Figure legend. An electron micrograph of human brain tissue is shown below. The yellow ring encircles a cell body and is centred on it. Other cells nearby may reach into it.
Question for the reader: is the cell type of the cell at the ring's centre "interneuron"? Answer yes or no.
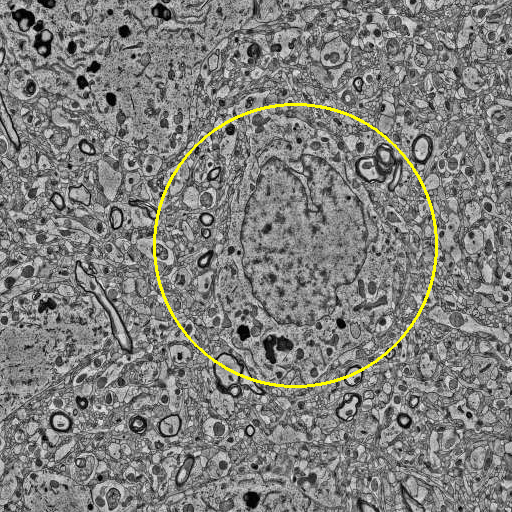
yes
